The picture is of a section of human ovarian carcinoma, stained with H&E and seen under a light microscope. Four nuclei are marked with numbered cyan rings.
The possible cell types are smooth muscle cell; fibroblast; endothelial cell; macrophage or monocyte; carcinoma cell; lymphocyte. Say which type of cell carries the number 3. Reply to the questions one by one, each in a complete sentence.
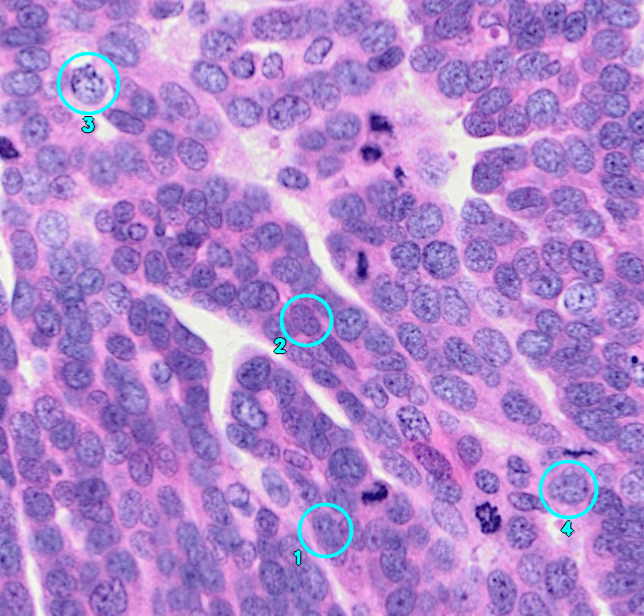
As for number 3, that cell is a macrophage or monocyte.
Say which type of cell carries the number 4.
The nucleus labelled 4 belongs to a carcinoma cell.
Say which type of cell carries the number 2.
The cell carrying label 2 is identified as a carcinoma cell.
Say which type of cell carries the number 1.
In the marked set, the cell given number 1 is a carcinoma cell.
